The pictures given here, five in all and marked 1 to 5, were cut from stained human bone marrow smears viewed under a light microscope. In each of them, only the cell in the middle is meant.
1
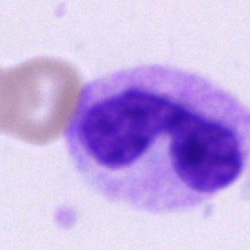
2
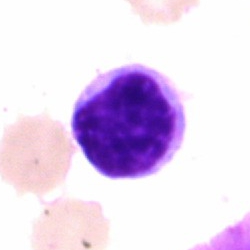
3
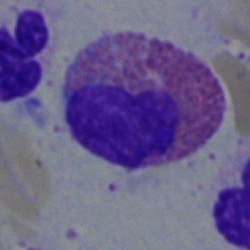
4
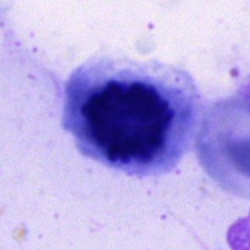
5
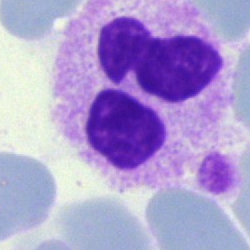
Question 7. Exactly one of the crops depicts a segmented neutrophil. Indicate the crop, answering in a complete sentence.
Crop 5 is the crop in which a segmented neutrophil is shown.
